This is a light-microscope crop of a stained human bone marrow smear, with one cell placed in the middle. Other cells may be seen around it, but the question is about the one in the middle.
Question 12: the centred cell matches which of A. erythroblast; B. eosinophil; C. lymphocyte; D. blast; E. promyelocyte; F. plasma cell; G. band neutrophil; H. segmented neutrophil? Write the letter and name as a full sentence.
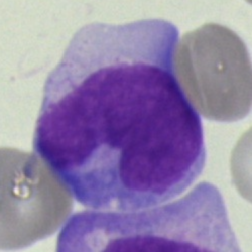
The cell occupying the centre is a blast; option D is thus the correct choice.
